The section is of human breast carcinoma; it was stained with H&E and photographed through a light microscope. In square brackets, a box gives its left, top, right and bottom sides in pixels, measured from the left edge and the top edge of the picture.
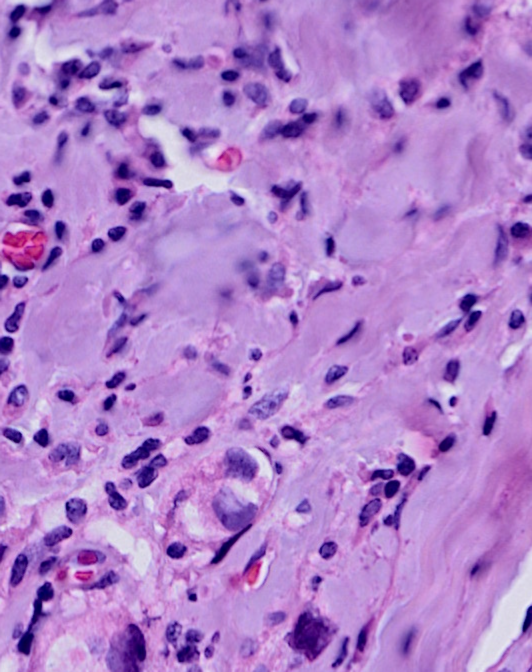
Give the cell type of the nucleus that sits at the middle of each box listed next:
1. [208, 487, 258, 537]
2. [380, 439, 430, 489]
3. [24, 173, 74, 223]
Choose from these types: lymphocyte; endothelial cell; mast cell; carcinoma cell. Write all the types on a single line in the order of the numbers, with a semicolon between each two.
carcinoma cell; lymphocyte; lymphocyte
